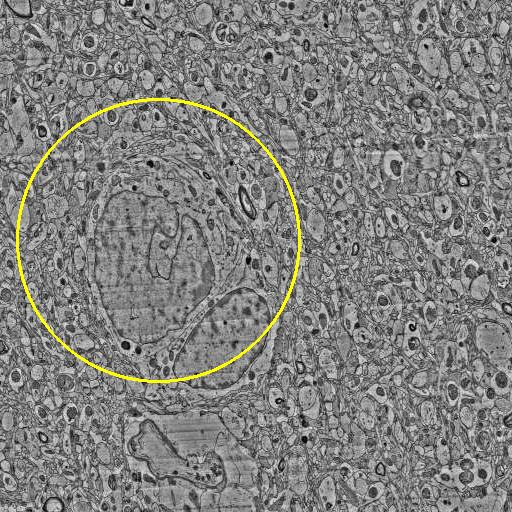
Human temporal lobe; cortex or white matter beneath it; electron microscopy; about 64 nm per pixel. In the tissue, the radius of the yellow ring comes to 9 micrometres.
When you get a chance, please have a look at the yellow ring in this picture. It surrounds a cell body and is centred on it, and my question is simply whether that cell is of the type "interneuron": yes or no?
Yes, the cell is of that type.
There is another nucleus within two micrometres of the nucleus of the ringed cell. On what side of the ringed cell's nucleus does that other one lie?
The other one is to the lower right of it.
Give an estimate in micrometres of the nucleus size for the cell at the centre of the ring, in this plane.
The ringed cell's nucleus is about 10 micrometres long and 8 micrometres wide in this plane.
